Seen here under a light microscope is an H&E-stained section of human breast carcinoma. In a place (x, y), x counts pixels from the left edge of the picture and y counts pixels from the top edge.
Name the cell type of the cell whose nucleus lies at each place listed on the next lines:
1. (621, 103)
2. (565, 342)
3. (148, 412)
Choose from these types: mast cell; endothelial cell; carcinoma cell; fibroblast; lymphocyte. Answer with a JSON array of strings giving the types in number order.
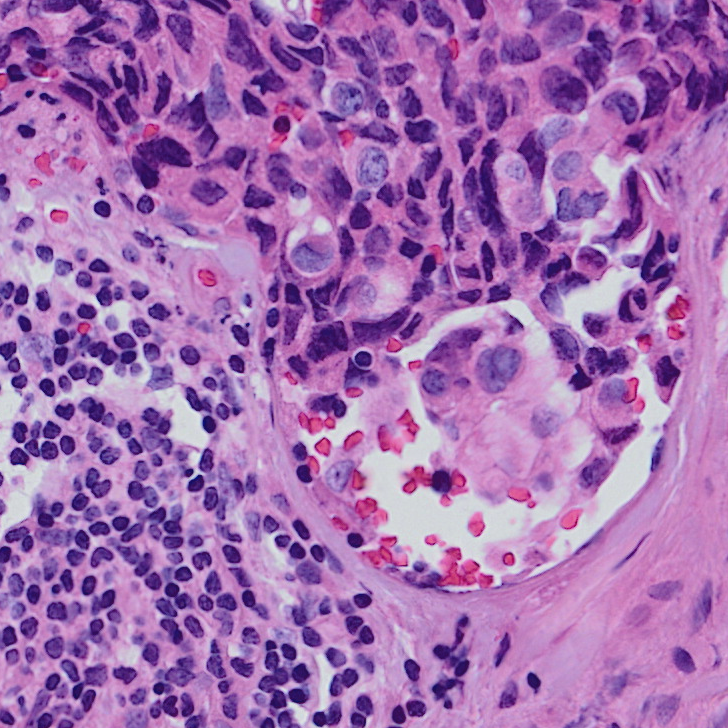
["carcinoma cell", "carcinoma cell", "lymphocyte"]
